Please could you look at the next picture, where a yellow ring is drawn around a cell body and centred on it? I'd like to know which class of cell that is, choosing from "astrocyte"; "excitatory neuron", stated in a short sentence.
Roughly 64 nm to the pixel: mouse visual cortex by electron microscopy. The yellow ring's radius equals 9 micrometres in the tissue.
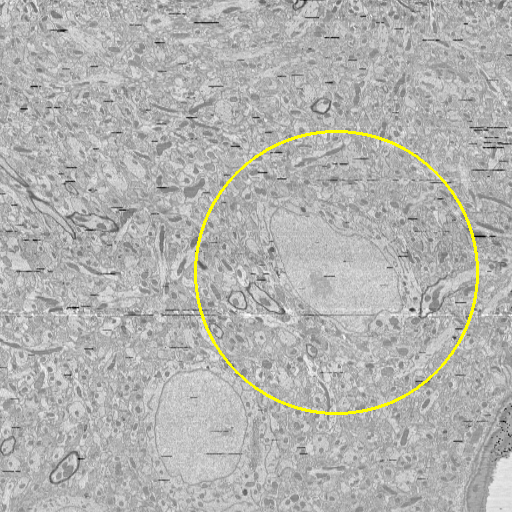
The ring's centre lies on an excitatory neuron.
